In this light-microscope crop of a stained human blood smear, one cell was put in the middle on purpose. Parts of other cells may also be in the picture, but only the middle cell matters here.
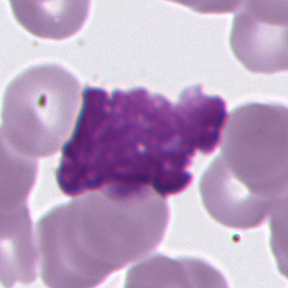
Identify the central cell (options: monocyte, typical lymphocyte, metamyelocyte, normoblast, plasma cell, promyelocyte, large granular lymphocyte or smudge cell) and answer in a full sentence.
The cell of interest, in the center, is a smudge cell.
